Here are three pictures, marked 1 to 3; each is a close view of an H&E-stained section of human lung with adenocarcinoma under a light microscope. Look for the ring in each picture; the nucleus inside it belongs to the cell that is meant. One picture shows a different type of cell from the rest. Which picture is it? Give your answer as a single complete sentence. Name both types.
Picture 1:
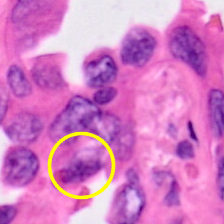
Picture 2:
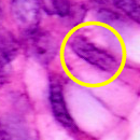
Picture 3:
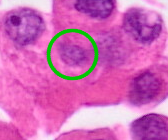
The others show carcinoma cells, but picture 2 shows a ciliated epithelial cell.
